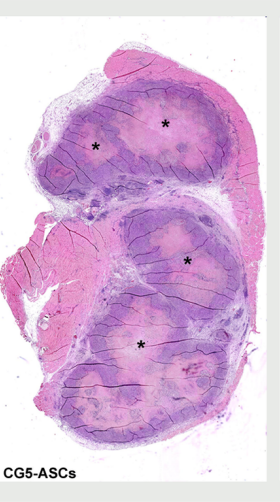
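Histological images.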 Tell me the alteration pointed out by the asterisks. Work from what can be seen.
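Necrotic area. The asterisks mark large pale pink central areas within purple tumor lobes. A rim of dense purple tissue surrounds each pale area.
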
